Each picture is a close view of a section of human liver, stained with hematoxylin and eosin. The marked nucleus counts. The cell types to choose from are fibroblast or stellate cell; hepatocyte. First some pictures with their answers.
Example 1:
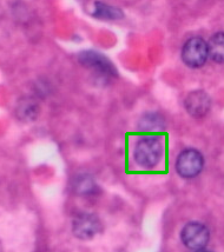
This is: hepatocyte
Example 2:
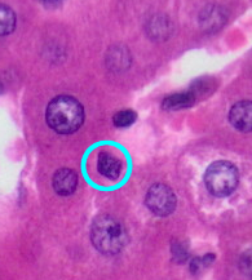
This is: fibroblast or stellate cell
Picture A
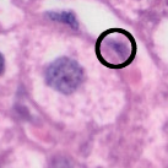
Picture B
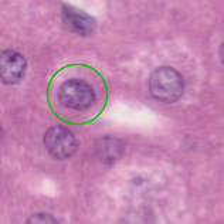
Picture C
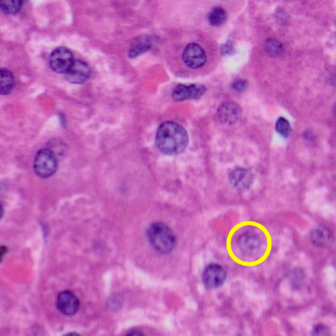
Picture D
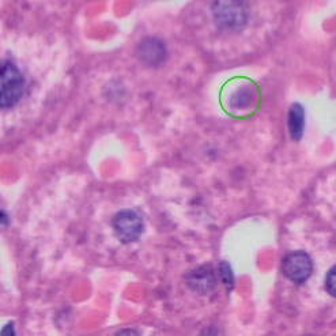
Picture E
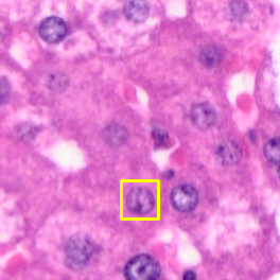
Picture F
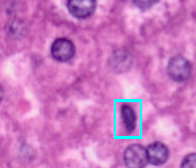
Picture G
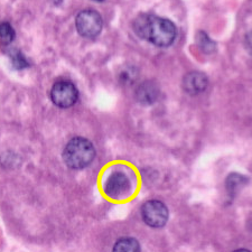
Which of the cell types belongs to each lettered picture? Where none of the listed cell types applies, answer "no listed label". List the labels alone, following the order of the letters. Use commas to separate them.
no listed label, hepatocyte, hepatocyte, no listed label, hepatocyte, no listed label, no listed label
